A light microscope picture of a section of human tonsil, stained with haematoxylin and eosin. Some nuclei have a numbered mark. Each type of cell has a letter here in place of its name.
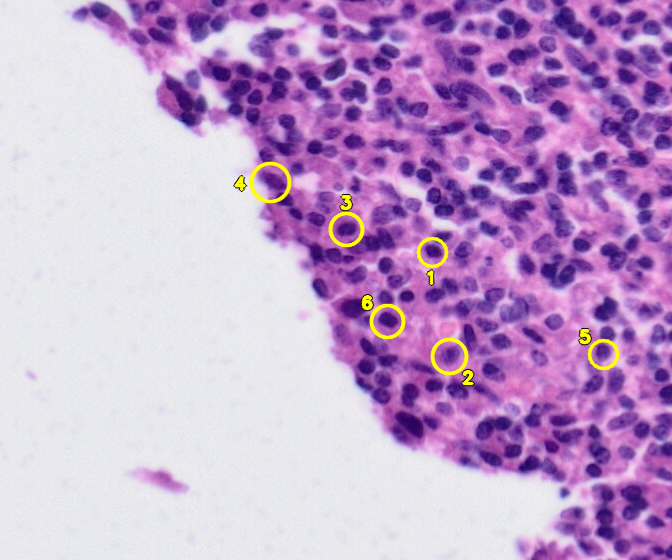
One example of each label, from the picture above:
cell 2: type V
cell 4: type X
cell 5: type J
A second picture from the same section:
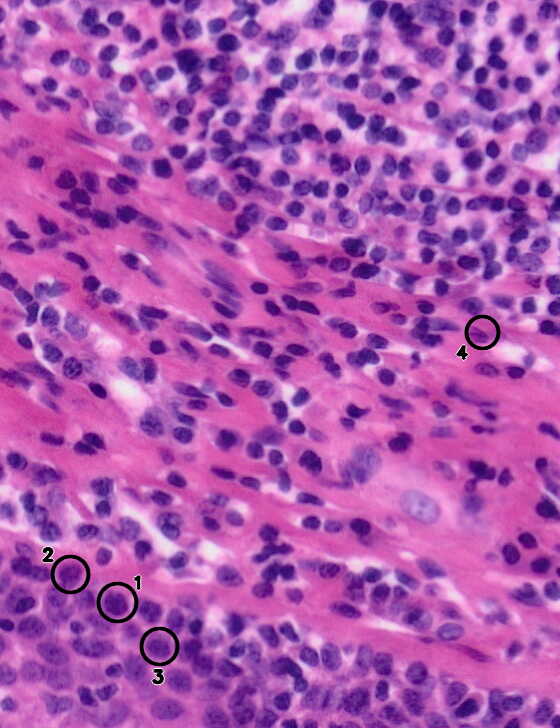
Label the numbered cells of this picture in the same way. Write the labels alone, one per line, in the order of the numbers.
type X
type X
type X
type V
